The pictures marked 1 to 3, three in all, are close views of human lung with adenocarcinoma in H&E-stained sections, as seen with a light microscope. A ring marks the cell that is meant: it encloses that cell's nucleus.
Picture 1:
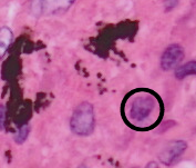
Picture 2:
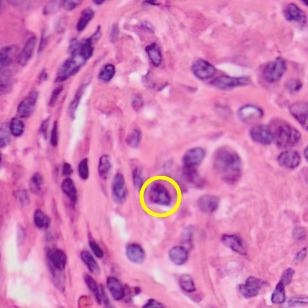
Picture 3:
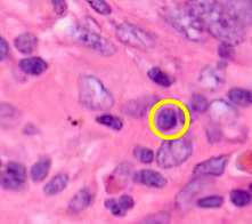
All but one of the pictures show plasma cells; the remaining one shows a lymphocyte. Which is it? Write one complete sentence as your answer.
The picture with the lymphocyte is 3.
